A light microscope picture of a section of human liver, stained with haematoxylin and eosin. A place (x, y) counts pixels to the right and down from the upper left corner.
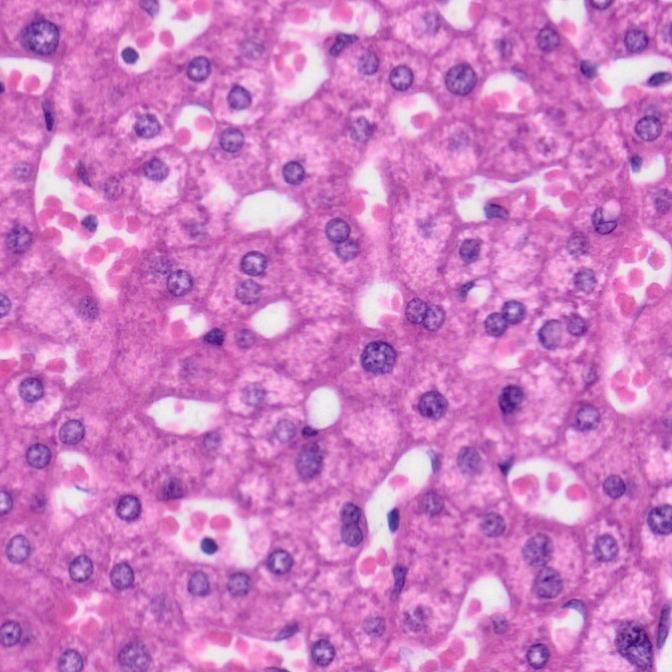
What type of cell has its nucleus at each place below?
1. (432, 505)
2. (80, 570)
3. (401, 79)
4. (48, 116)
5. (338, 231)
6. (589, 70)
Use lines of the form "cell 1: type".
cell 1: hepatocyte
cell 2: hepatocyte
cell 3: hepatocyte
cell 4: fibroblast or stellate cell
cell 5: hepatocyte
cell 6: fibroblast or stellate cell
